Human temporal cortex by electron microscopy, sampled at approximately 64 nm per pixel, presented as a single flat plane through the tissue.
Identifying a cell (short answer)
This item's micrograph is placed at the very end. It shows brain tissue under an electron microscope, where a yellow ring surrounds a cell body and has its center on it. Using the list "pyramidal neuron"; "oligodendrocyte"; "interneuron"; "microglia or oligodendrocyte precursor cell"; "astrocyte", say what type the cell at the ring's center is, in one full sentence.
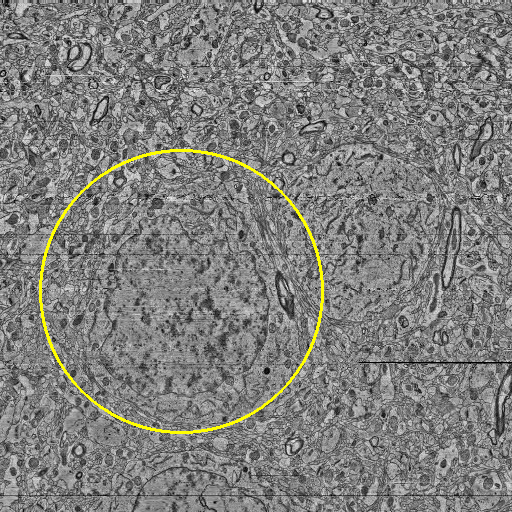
This picture shows an interneuron at the center of the yellow ring drawn on it.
